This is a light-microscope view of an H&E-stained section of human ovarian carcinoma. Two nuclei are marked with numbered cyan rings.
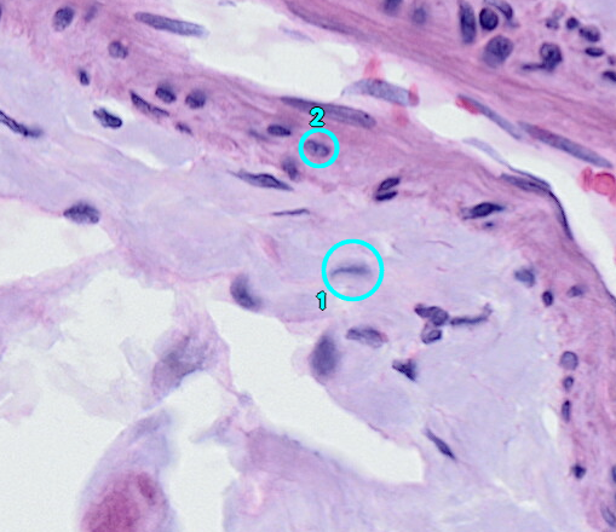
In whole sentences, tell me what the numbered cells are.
Cell 1 is a fibroblast. Cell 2 is a smooth muscle cell.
